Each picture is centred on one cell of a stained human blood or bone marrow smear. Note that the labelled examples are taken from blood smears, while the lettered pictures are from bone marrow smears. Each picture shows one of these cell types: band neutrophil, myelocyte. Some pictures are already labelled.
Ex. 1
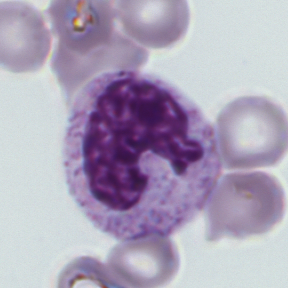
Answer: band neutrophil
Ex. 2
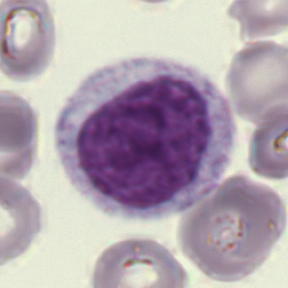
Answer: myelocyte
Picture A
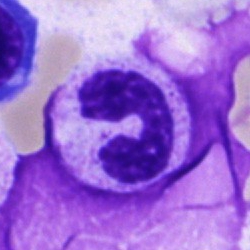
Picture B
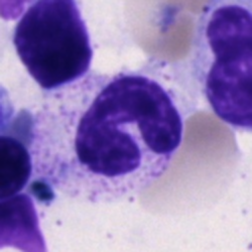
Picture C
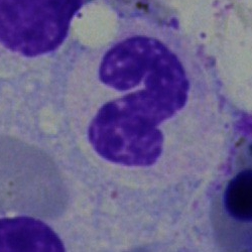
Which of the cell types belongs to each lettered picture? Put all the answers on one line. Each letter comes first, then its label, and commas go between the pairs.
A band neutrophil, B band neutrophil, C band neutrophil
